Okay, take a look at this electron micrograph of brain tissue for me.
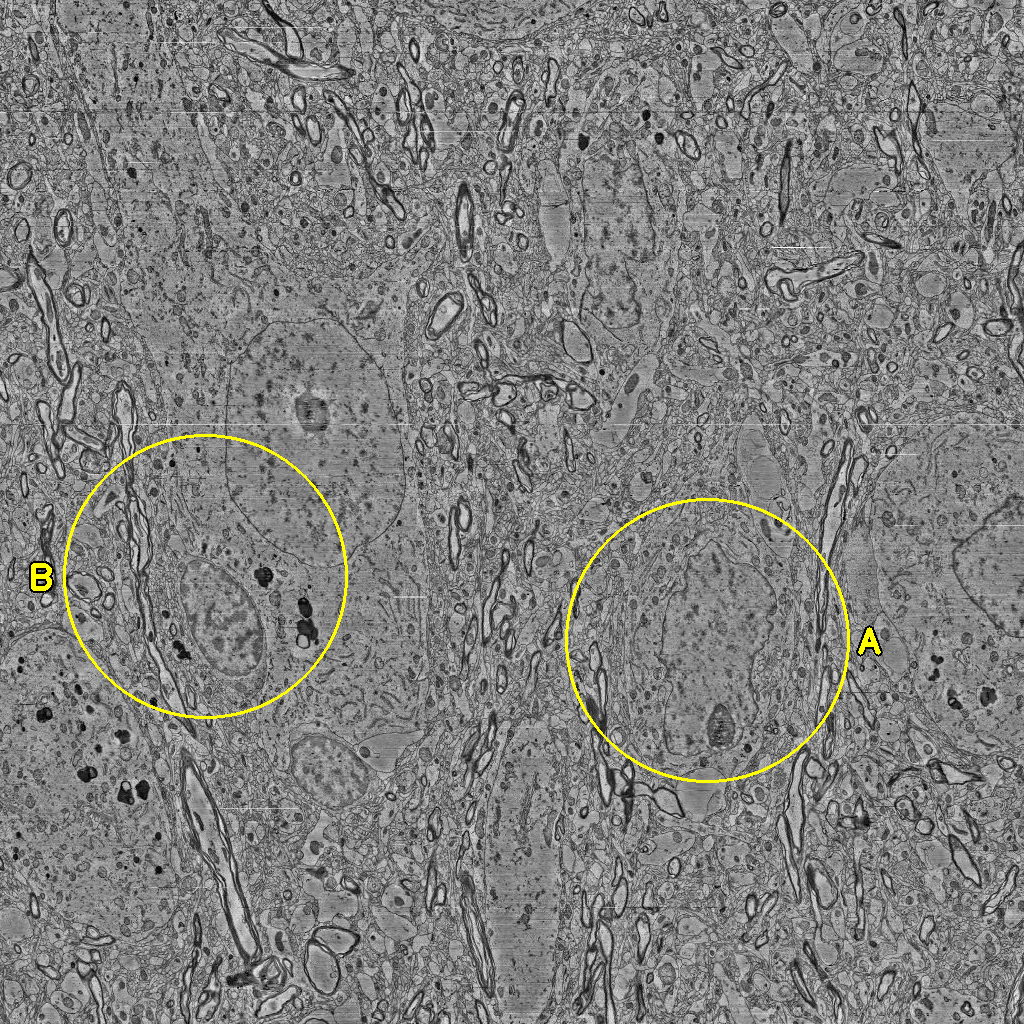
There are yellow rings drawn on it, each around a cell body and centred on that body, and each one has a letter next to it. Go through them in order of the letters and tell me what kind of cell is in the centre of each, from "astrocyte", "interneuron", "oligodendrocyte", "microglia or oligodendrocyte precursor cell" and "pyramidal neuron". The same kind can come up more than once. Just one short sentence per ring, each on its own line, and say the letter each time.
In the centre of ring A there's an interneuron.
In the centre of ring B there's an oligodendrocyte.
